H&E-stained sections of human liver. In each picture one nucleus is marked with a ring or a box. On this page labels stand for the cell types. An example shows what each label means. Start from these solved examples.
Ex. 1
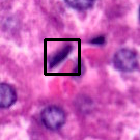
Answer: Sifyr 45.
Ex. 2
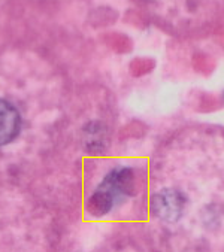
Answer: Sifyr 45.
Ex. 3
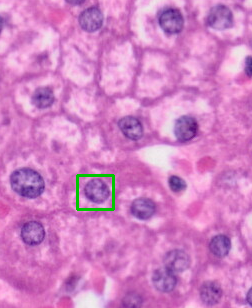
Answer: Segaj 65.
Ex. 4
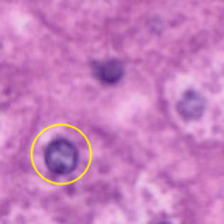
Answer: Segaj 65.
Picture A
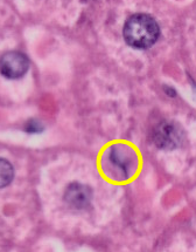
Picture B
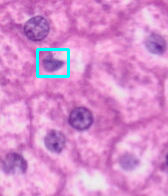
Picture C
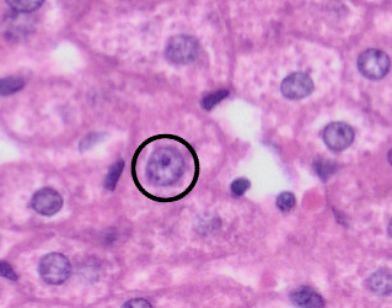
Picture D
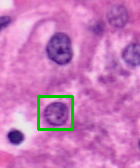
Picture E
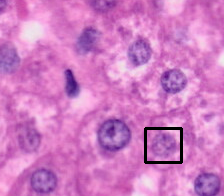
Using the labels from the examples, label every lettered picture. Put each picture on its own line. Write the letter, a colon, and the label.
A: Sifyr 45.
B: Sifyr 45.
C: Segaj 65.
D: Segaj 65.
E: Segaj 65.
